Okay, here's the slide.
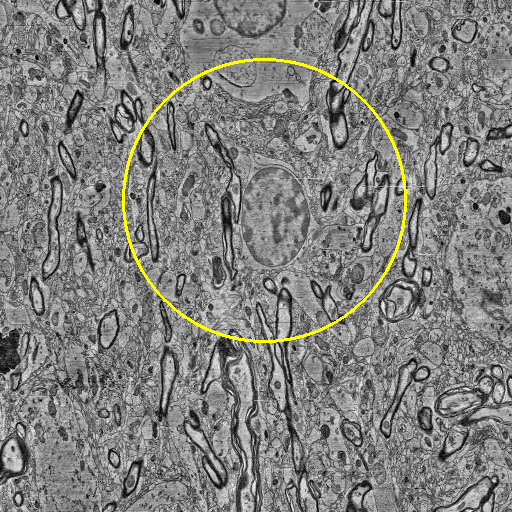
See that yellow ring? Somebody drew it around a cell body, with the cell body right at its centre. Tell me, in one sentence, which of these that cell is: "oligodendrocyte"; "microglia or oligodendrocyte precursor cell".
The cell in the middle of the ring is a microglial cell or oligodendrocyte precursor cell.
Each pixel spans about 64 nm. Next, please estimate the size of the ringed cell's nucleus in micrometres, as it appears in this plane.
About 6 micrometres by about 4 micrometres in this plane.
